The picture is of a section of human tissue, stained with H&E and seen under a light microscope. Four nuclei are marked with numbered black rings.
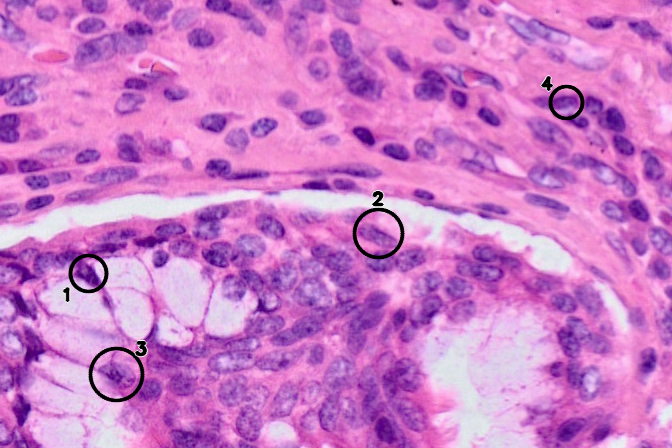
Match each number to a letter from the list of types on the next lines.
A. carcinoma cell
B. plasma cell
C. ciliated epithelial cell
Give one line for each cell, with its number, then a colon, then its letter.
1: C
2: C
3: C
4: B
